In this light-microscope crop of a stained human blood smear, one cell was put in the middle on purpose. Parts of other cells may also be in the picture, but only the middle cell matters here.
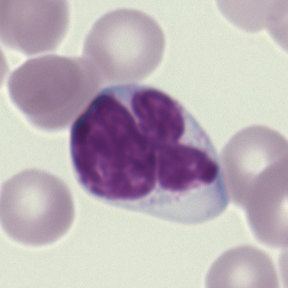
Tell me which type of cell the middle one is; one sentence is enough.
Positioned in the middle of the crop is a large granular lymphocyte.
